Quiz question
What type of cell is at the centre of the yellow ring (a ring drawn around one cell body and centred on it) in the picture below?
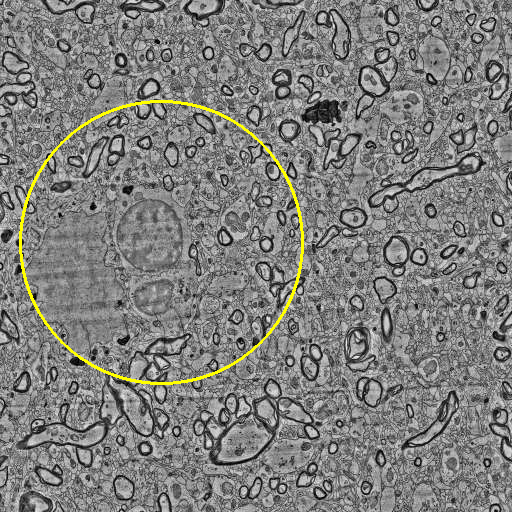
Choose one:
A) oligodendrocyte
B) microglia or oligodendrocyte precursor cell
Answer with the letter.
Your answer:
A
